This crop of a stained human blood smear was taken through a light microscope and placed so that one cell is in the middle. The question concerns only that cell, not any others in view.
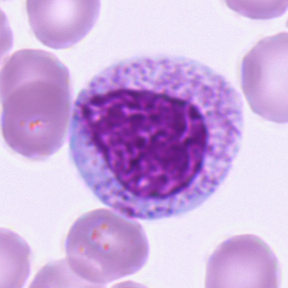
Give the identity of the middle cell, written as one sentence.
To answer, the cell in the center of the crop is a metamyelocyte.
